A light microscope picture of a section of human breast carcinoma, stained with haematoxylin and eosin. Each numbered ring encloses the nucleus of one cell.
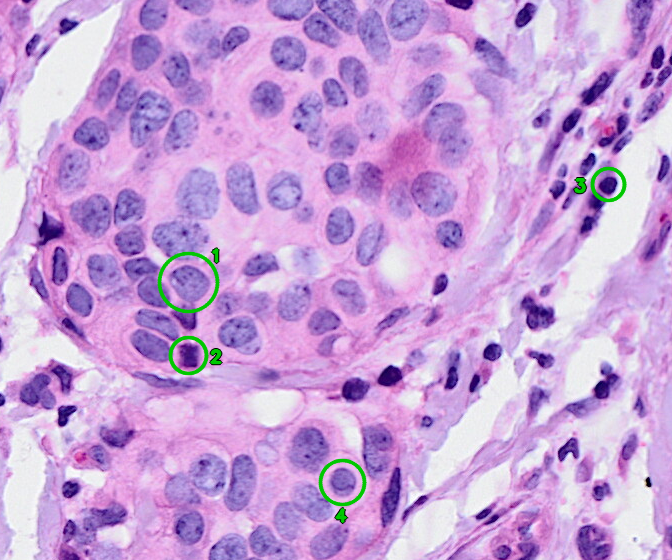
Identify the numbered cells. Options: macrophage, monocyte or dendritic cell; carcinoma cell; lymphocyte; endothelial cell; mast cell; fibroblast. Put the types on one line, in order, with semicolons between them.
carcinoma cell; carcinoma cell; lymphocyte; carcinoma cell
